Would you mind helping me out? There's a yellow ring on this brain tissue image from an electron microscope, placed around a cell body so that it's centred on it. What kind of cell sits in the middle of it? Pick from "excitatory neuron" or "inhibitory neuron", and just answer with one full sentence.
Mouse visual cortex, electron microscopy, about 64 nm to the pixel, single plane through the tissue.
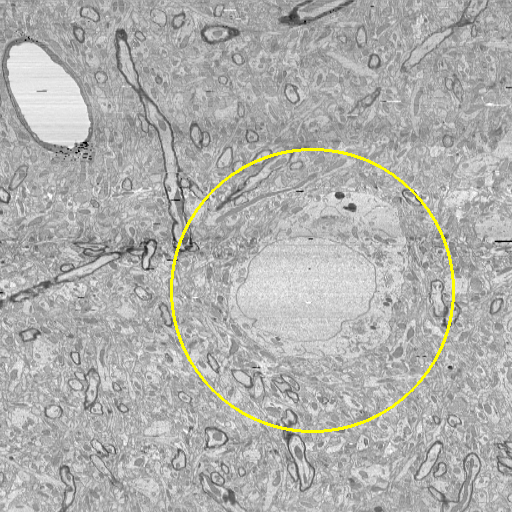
What sits in the middle of that yellow ring is an excitatory neuron, from your choices.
